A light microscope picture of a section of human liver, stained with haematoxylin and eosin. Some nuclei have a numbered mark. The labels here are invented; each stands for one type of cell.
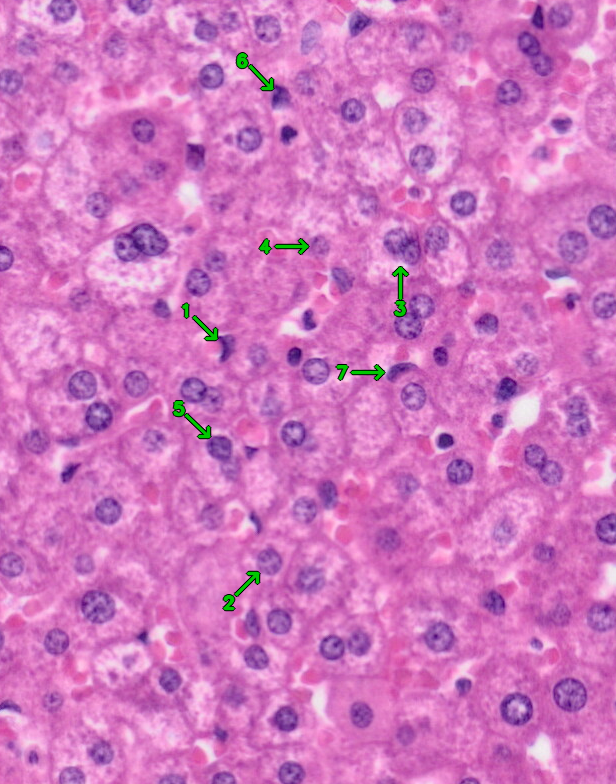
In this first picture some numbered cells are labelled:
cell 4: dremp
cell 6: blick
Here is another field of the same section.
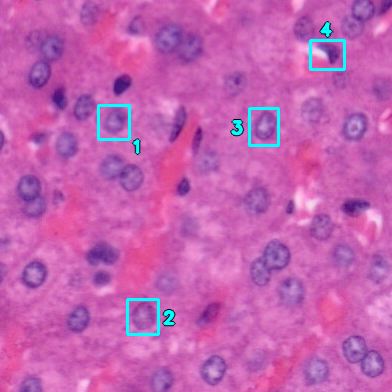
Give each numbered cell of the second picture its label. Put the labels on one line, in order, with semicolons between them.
dremp; dremp; dremp; blick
